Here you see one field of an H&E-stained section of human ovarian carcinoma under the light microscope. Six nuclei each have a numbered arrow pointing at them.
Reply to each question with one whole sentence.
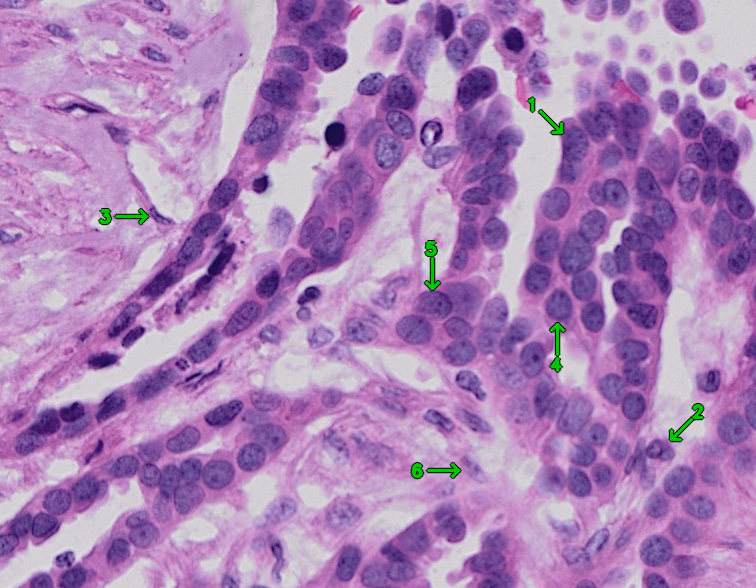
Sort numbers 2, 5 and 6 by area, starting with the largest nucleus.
From largest to smallest, the order is 5, 2, 6.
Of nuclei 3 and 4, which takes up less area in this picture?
It is nucleus 3; nucleus 4 has about 3 times its area.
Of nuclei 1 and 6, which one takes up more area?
Nucleus 1 covers more area, about 2 times as much as nucleus 6.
